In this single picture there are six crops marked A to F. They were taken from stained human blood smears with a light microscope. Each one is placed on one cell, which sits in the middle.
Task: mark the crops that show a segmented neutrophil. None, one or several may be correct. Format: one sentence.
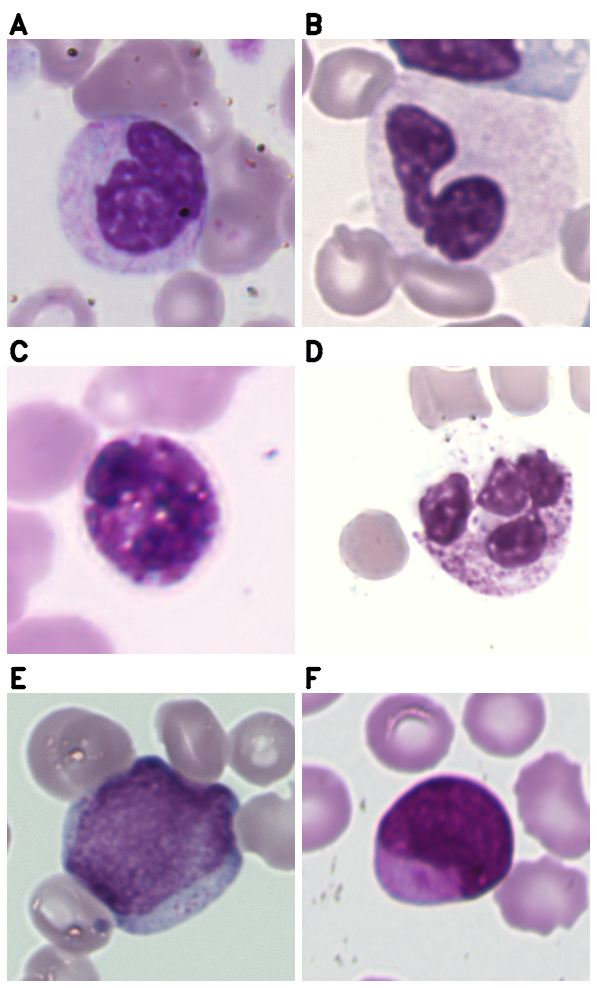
Crops B and D hold segmented neutrophils in the centre of the field.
